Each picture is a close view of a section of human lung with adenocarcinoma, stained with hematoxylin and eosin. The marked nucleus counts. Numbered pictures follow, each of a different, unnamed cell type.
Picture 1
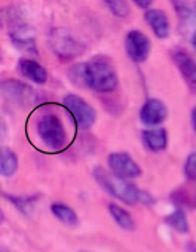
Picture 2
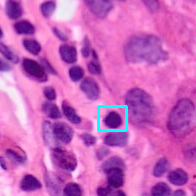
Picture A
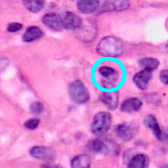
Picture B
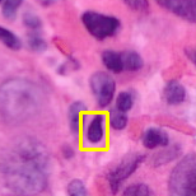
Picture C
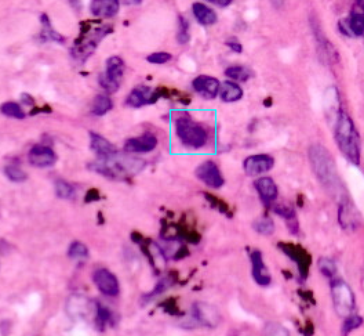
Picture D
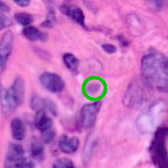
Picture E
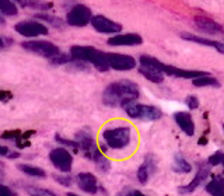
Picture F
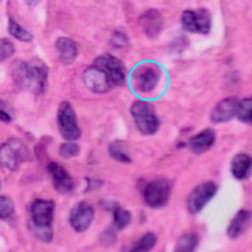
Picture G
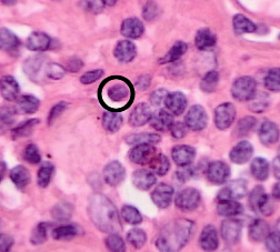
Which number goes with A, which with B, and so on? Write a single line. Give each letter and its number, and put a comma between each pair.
A 2, B 2, C 1, D 2, E 2, F 2, G 2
